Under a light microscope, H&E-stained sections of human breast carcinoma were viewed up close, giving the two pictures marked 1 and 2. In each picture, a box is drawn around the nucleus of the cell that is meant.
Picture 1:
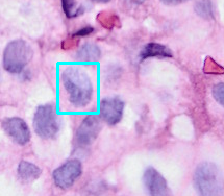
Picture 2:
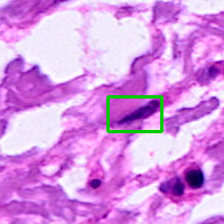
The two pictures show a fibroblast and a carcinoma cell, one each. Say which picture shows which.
1: carcinoma cell
2: fibroblast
